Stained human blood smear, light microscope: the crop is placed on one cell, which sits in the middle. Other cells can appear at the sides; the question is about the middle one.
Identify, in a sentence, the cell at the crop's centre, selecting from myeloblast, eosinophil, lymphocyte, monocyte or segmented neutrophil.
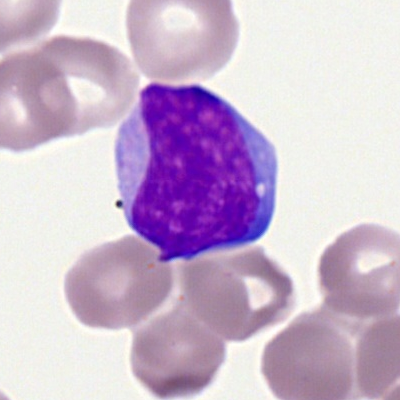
The crop shows a myeloblast in its centre.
